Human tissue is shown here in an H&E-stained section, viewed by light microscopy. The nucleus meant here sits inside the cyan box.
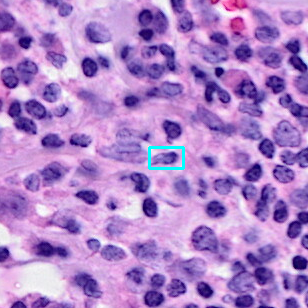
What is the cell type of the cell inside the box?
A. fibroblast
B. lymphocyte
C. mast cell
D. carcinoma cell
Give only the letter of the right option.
B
